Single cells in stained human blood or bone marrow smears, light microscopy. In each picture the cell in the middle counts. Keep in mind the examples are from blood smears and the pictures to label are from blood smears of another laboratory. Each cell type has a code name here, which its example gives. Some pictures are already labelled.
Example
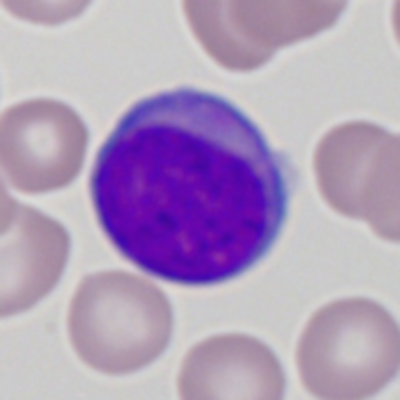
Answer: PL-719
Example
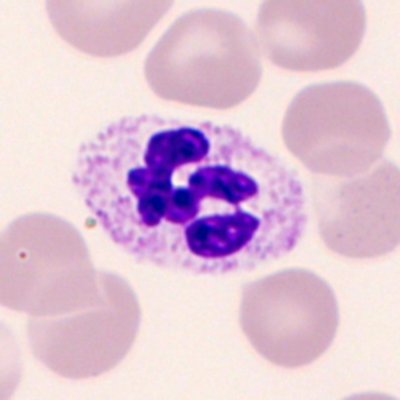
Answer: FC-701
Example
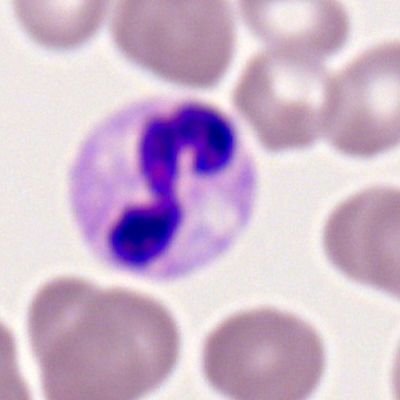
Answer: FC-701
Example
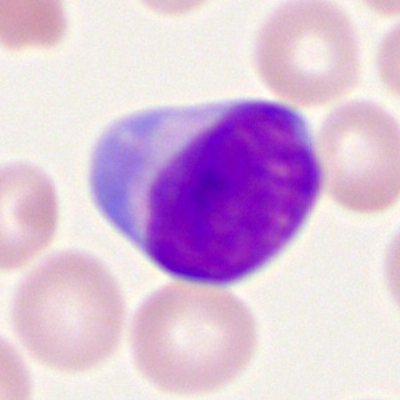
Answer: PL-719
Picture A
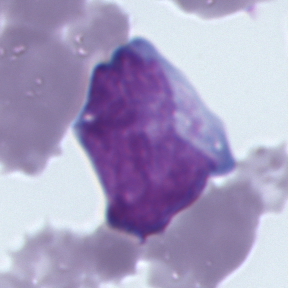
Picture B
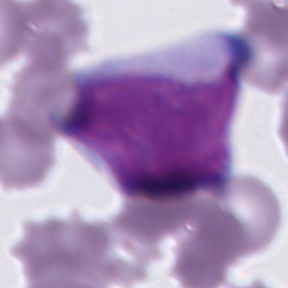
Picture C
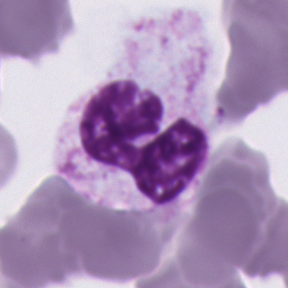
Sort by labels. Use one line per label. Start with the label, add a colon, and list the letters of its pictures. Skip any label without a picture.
PL-719: A, B
FC-701: C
